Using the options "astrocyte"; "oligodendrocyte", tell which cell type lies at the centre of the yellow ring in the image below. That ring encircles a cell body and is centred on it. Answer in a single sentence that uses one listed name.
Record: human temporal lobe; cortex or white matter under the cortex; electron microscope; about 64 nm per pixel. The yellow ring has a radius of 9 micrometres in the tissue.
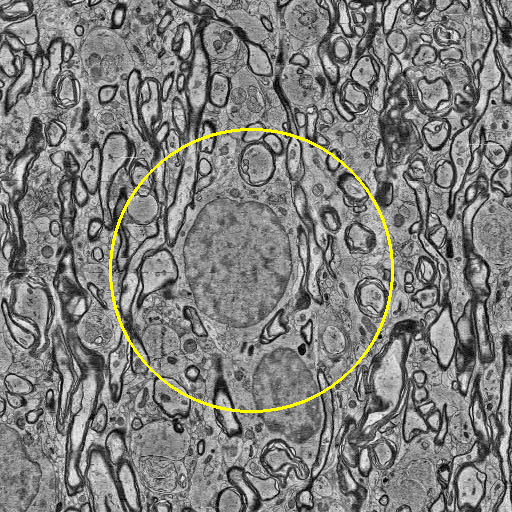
At the centre of the yellow ring lies the body of an oligodendrocyte.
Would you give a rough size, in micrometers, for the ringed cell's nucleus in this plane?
In this plane the nucleus measures roughly 9 by 7 micrometers.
